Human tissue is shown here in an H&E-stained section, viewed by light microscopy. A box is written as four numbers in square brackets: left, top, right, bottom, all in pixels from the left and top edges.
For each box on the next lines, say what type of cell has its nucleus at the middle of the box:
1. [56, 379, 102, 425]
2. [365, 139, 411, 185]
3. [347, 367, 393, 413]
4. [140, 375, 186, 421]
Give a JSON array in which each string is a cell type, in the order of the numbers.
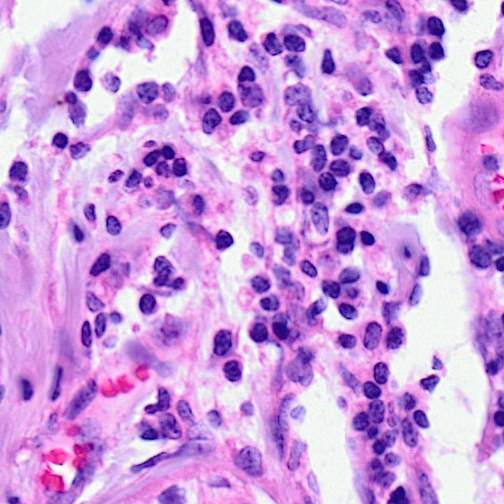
["endothelial cell", "lymphocyte", "lymphocyte", "lymphocyte"]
